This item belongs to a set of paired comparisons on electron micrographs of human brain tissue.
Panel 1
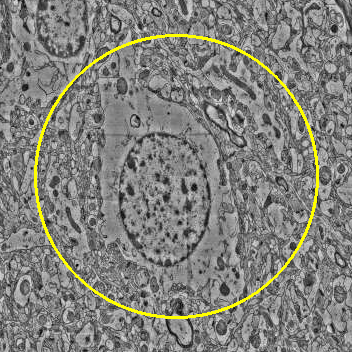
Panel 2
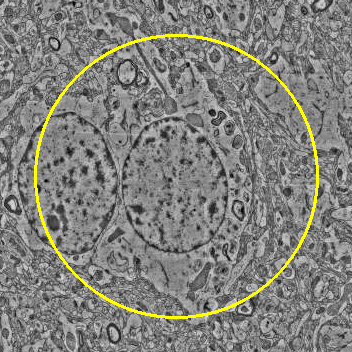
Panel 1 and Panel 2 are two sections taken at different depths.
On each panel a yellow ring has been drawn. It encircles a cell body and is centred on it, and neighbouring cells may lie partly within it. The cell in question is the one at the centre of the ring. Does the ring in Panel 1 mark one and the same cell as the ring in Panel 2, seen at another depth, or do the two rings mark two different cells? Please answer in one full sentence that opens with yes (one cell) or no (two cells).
No, the two rings are not on the same cell.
